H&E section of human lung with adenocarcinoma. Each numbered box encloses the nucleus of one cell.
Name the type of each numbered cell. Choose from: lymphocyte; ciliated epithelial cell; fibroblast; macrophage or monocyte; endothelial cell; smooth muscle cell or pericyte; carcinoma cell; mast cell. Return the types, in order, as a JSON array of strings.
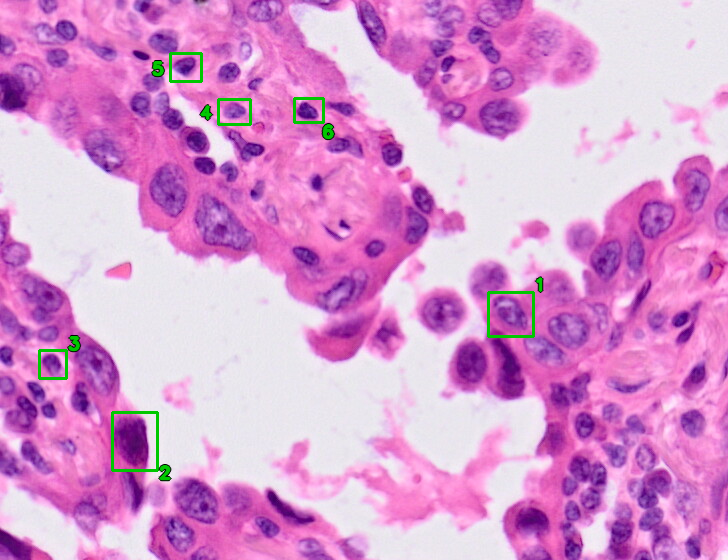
["carcinoma cell", "carcinoma cell", "lymphocyte", "lymphocyte", "lymphocyte", "lymphocyte"]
